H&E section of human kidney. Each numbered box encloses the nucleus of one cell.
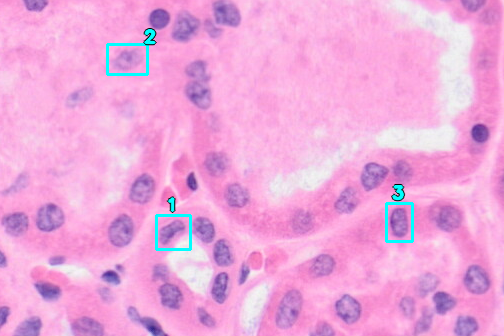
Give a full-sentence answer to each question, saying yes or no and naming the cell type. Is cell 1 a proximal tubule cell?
No, cell 1 is not a proximal tubule cell; a collecting duct cell is the correct identification.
